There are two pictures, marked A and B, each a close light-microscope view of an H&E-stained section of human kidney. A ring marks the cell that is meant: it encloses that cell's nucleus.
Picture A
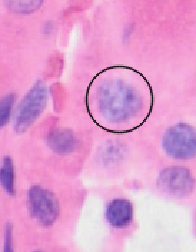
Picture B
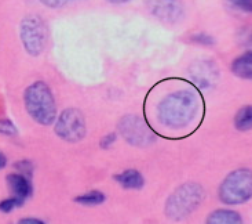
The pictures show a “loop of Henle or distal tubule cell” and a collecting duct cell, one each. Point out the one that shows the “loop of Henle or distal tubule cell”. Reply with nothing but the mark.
A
